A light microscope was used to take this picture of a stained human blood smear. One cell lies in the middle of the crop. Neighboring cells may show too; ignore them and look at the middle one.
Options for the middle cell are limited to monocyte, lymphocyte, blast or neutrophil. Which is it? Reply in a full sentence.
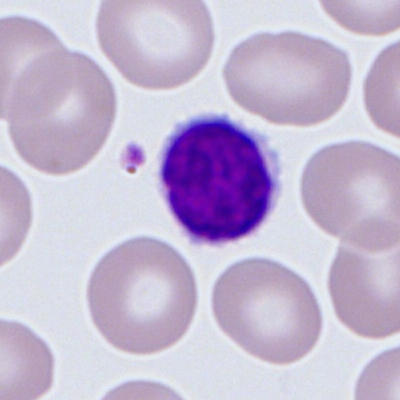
The central cell in this smear crop is a lymphocyte.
